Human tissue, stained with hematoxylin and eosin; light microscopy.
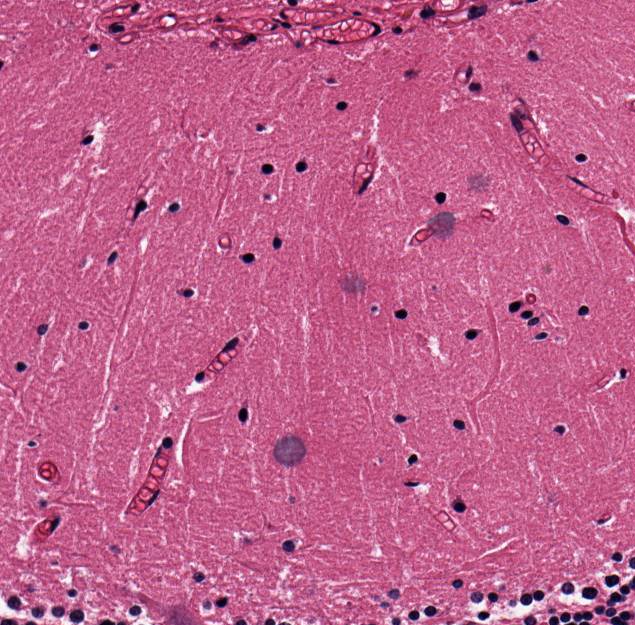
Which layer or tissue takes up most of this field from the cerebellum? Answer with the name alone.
molecular layer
